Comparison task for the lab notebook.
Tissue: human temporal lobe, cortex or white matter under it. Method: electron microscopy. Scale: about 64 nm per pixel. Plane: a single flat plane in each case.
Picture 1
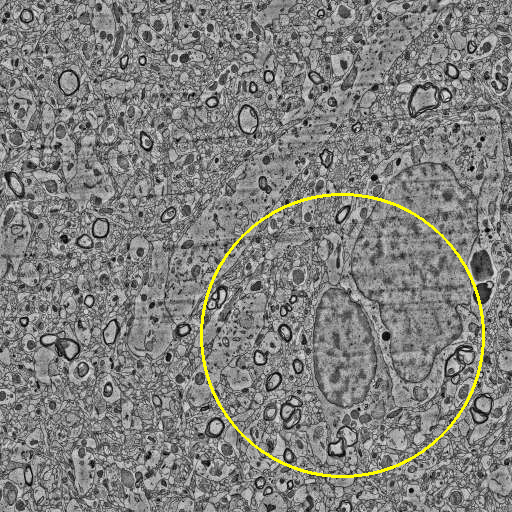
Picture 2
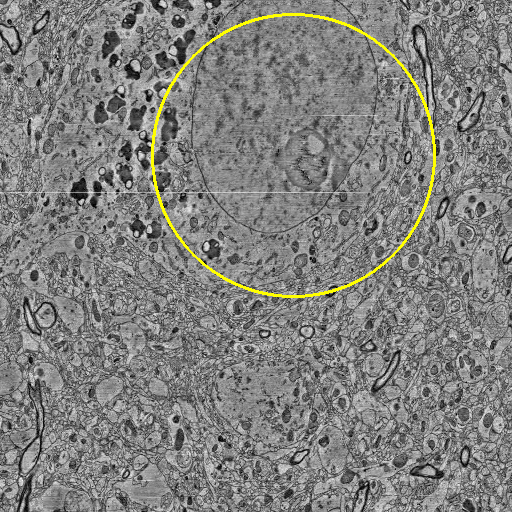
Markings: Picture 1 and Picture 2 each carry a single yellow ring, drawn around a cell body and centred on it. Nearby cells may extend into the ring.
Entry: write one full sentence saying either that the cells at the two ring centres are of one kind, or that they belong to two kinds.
The cells sitting at the ring centres in Picture 1 and Picture 2 belong to two kinds.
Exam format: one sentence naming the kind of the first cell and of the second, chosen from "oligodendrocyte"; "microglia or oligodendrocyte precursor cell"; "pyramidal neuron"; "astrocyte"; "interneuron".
The first picture's cell is an oligodendrocyte, and the second picture's cell is a pyramidal neuron.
